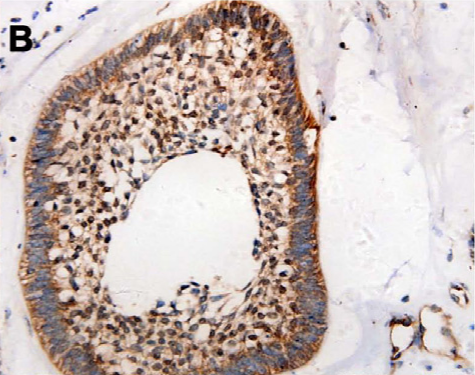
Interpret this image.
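A rounded island of odontogenic epithelium of a follicular ameloblastoma lies in loose, pale fibrous stroma. The interior holds loosely arranged, smaller cells with round dark nuclei surrounding a central cyst-like clear space. A few small blood vessels lie in the stroma beside the island.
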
